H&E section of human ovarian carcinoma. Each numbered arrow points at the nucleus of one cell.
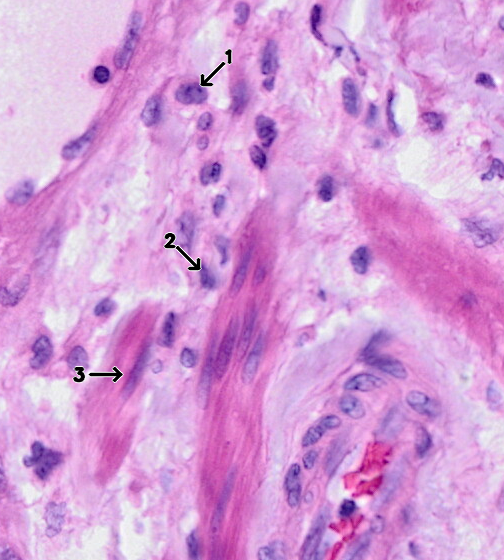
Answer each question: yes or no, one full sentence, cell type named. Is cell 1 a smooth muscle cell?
No, a macrophage or monocyte is what cell 1 is, not a smooth muscle cell.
